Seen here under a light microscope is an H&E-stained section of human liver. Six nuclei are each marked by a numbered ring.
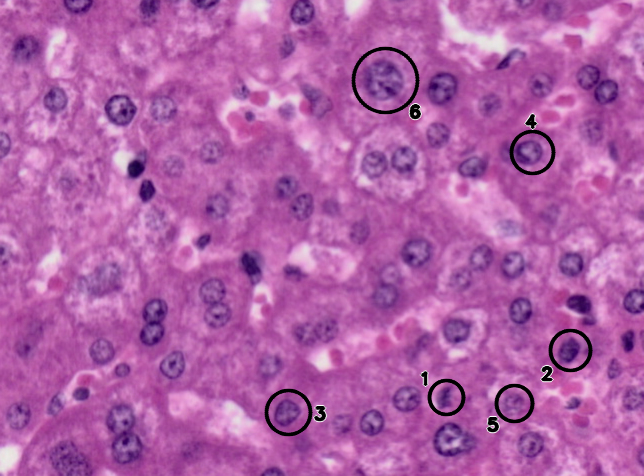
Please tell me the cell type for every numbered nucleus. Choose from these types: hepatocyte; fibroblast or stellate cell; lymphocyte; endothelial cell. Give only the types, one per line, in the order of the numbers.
endothelial cell
fibroblast or stellate cell
hepatocyte
hepatocyte
hepatocyte
hepatocyte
